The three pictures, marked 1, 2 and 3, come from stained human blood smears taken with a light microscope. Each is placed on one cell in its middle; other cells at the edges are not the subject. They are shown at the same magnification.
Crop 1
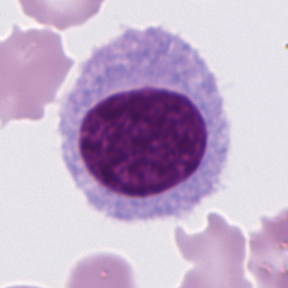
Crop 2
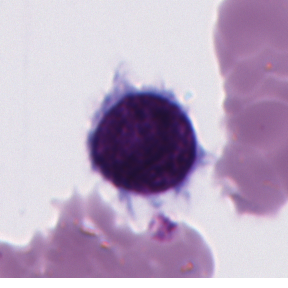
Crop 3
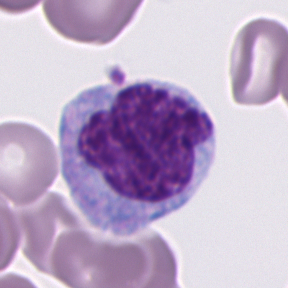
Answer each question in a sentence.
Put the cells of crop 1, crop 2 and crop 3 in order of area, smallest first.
From the smallest up, the order is 2, 3, 1.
